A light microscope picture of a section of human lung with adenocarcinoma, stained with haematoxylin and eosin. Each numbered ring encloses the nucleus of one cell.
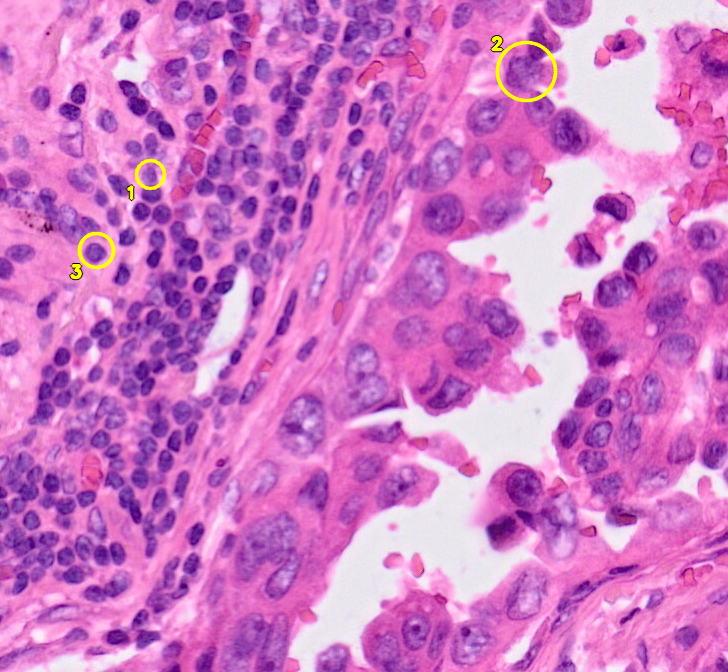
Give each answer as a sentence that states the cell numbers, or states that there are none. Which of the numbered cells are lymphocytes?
The cells carrying labels 1 and 3 are lymphocytes.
